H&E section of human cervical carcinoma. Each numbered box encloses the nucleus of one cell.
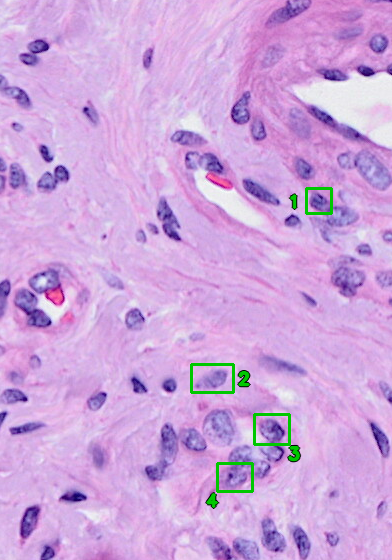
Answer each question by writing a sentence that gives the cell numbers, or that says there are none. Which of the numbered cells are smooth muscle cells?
There is just one numbered cell that is a smooth muscle cell, and it is cell 1.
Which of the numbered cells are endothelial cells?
Classified as endothelial cells are the cells numbered 3 and 4.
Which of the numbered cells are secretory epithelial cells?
Among the cells marked by numbers, there are no secretory epithelial cells.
